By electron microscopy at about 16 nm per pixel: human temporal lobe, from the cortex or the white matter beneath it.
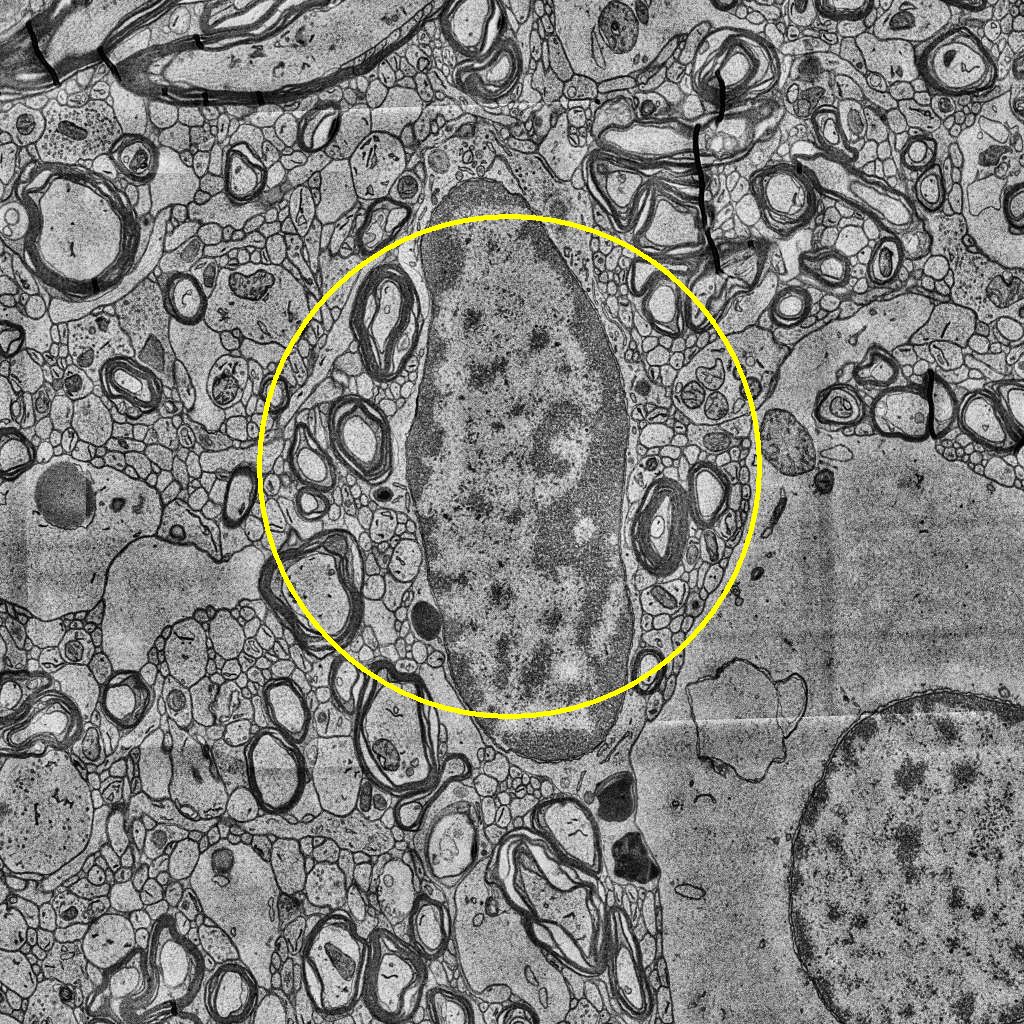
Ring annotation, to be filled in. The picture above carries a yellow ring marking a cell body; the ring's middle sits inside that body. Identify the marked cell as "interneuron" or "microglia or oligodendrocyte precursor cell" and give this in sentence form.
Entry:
The cell at the middle of the ring is a microglial cell or oligodendrocyte precursor cell.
